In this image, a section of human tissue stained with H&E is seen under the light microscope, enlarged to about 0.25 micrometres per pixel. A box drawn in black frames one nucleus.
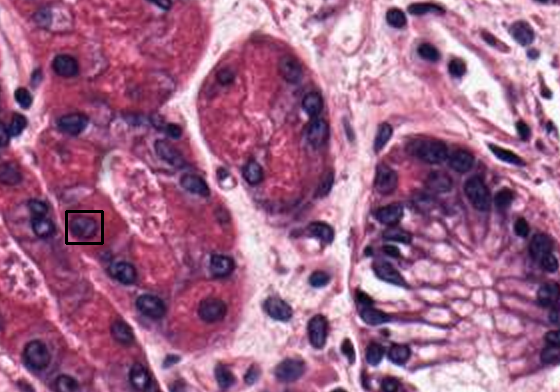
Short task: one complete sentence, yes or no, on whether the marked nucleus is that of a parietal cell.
Yes, a parietal cell contains the marked nucleus.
